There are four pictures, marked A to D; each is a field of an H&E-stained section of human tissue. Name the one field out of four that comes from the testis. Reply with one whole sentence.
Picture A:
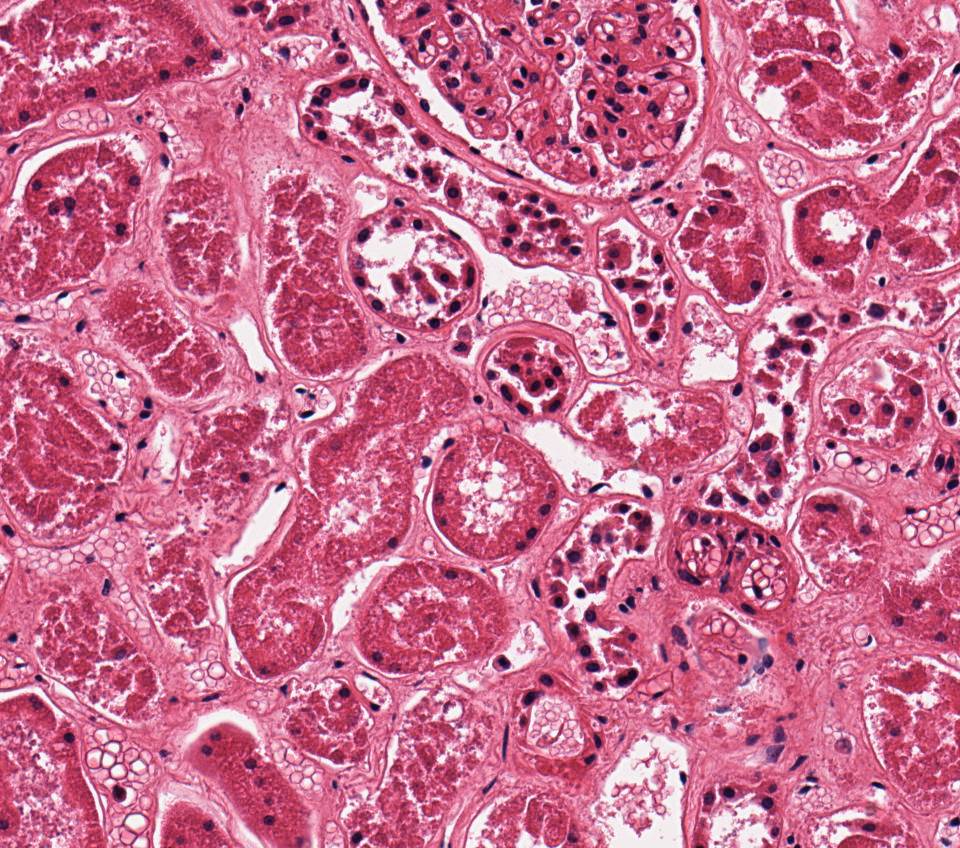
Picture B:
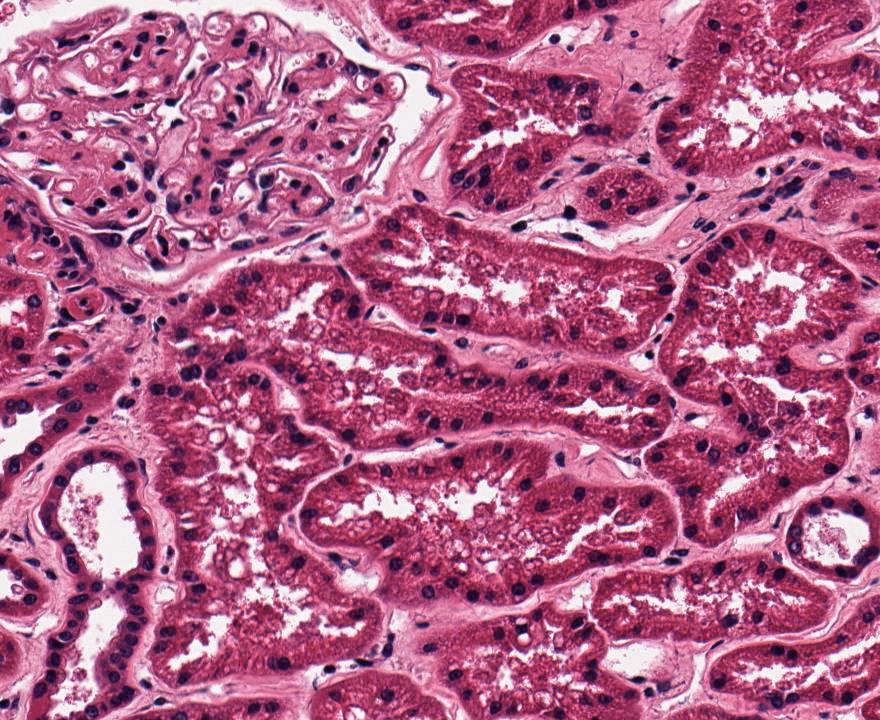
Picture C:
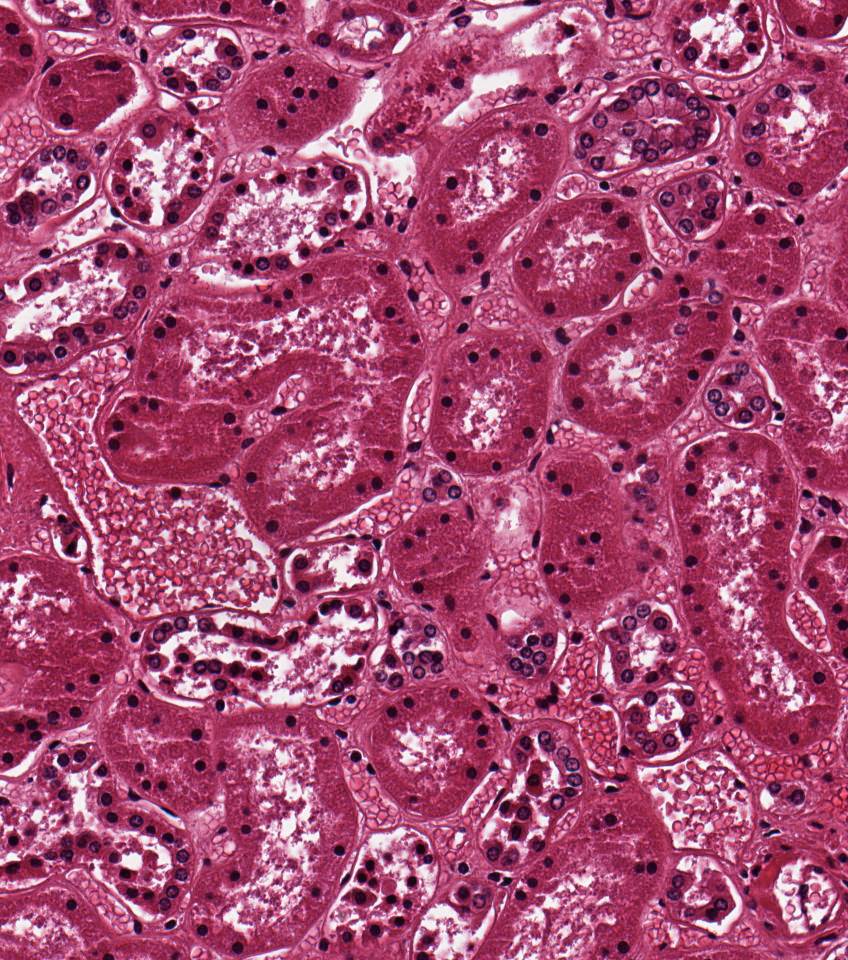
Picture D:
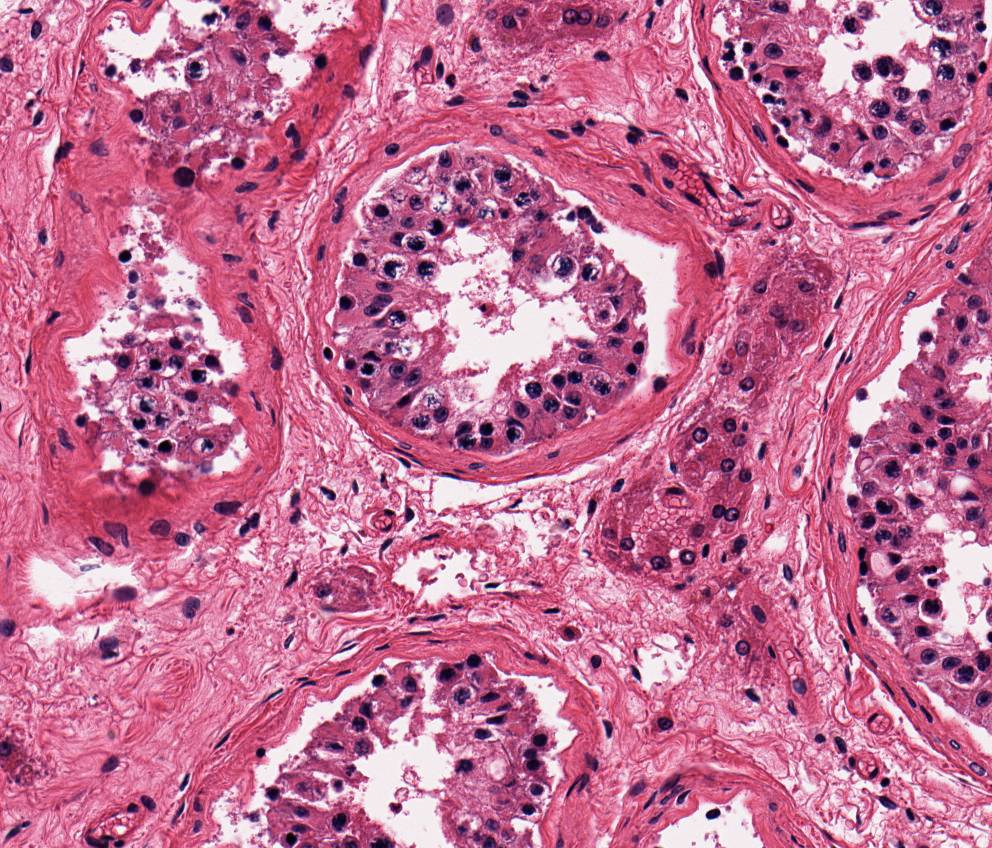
The one that comes from the testis is picture D.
